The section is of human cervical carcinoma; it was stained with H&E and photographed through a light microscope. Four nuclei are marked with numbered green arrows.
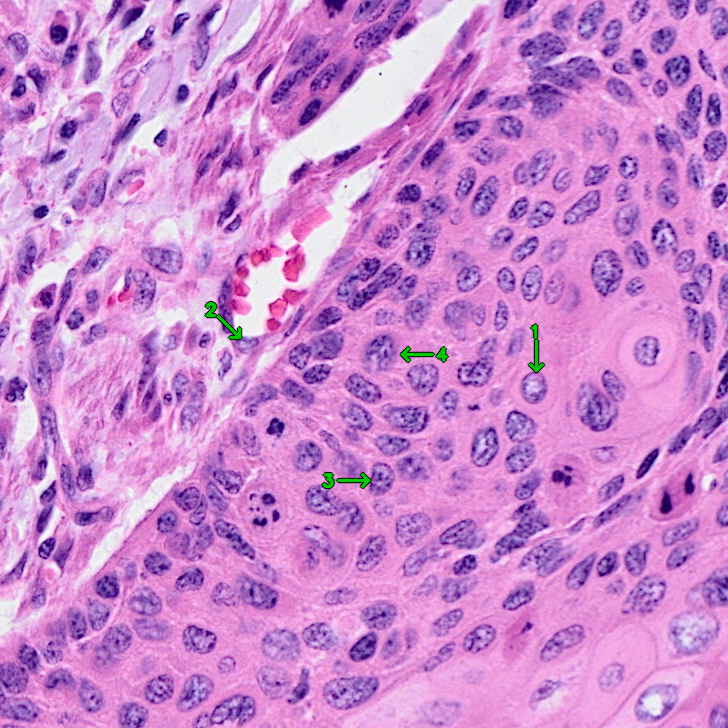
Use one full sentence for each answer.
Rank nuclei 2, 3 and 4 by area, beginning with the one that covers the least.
Smallest first, the nuclei run 2, 3, 4.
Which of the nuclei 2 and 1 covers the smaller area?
Nucleus 2 is the smaller one; nucleus 1 covers about 2.5 times its area.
